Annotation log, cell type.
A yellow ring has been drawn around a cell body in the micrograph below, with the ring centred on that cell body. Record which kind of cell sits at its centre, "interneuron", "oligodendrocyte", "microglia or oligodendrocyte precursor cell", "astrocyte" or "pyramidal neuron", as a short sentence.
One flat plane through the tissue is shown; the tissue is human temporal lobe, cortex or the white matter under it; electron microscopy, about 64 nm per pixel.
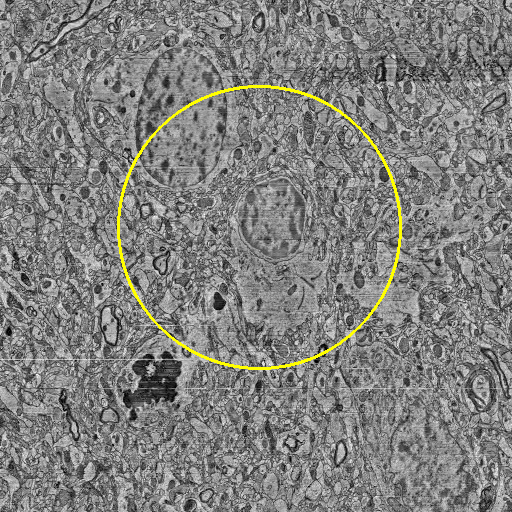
The cell at the centre of this ring is a microglial cell or oligodendrocyte precursor cell.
